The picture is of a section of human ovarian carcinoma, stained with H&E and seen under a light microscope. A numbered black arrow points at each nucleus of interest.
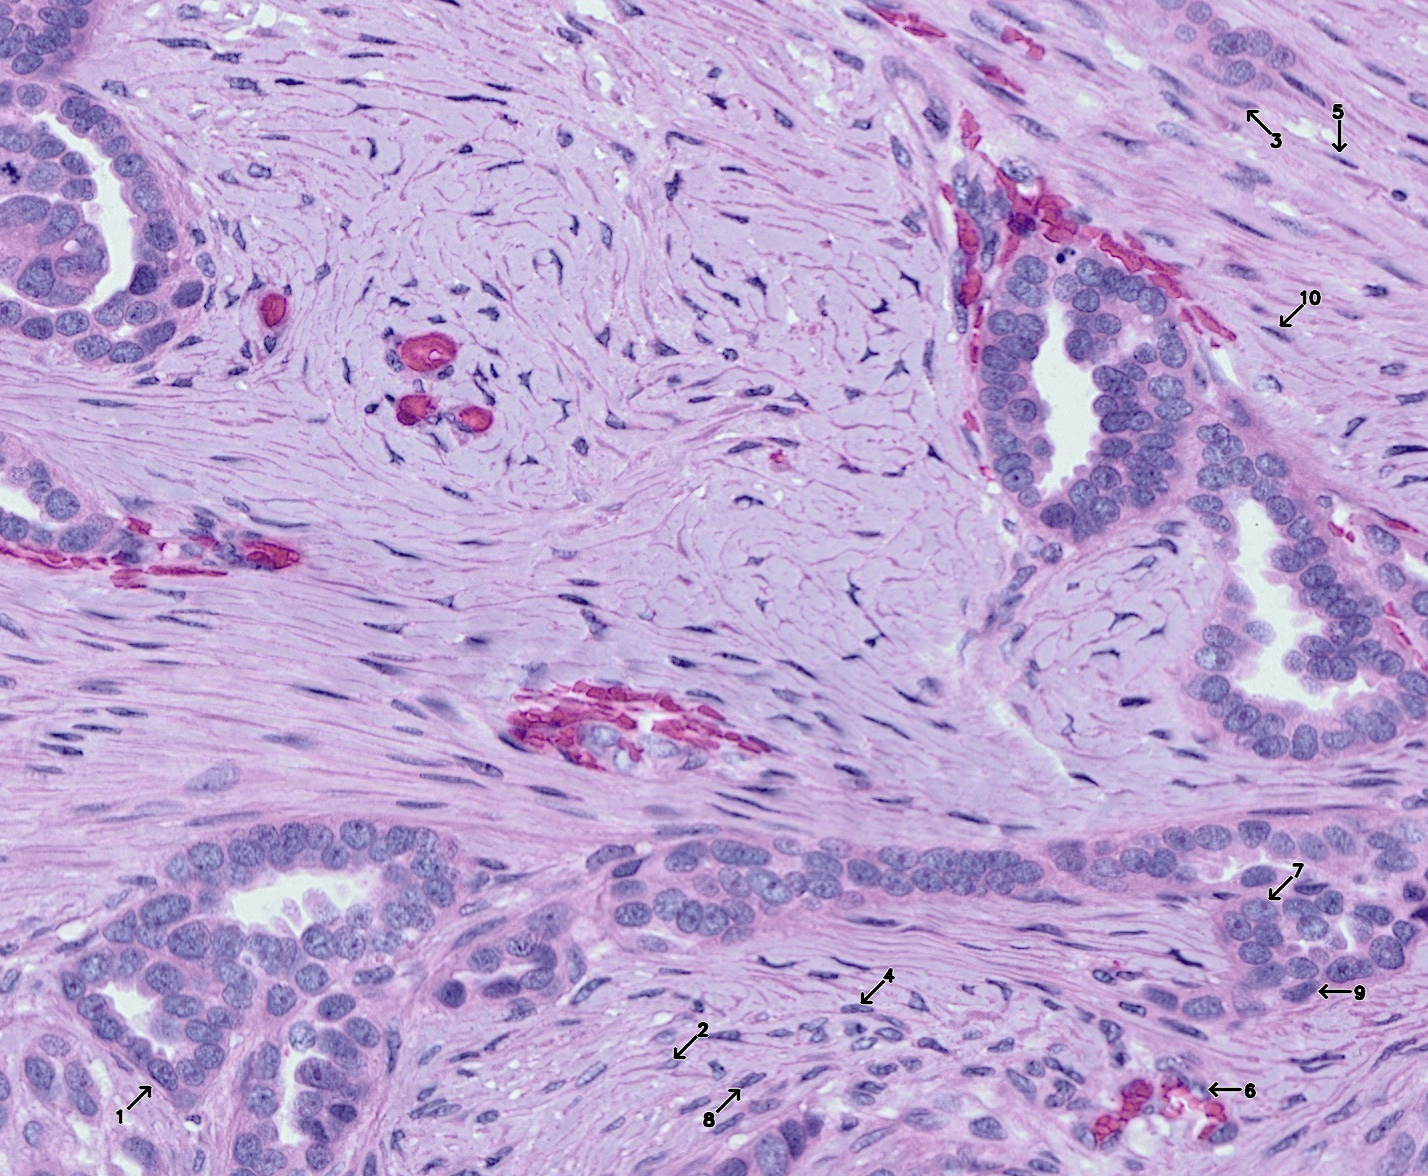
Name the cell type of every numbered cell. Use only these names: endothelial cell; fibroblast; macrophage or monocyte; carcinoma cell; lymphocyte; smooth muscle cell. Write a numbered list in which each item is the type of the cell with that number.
1. carcinoma cell
2. fibroblast
3. fibroblast
4. fibroblast
5. fibroblast
6. endothelial cell
7. carcinoma cell
8. fibroblast
9. carcinoma cell
10. fibroblast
